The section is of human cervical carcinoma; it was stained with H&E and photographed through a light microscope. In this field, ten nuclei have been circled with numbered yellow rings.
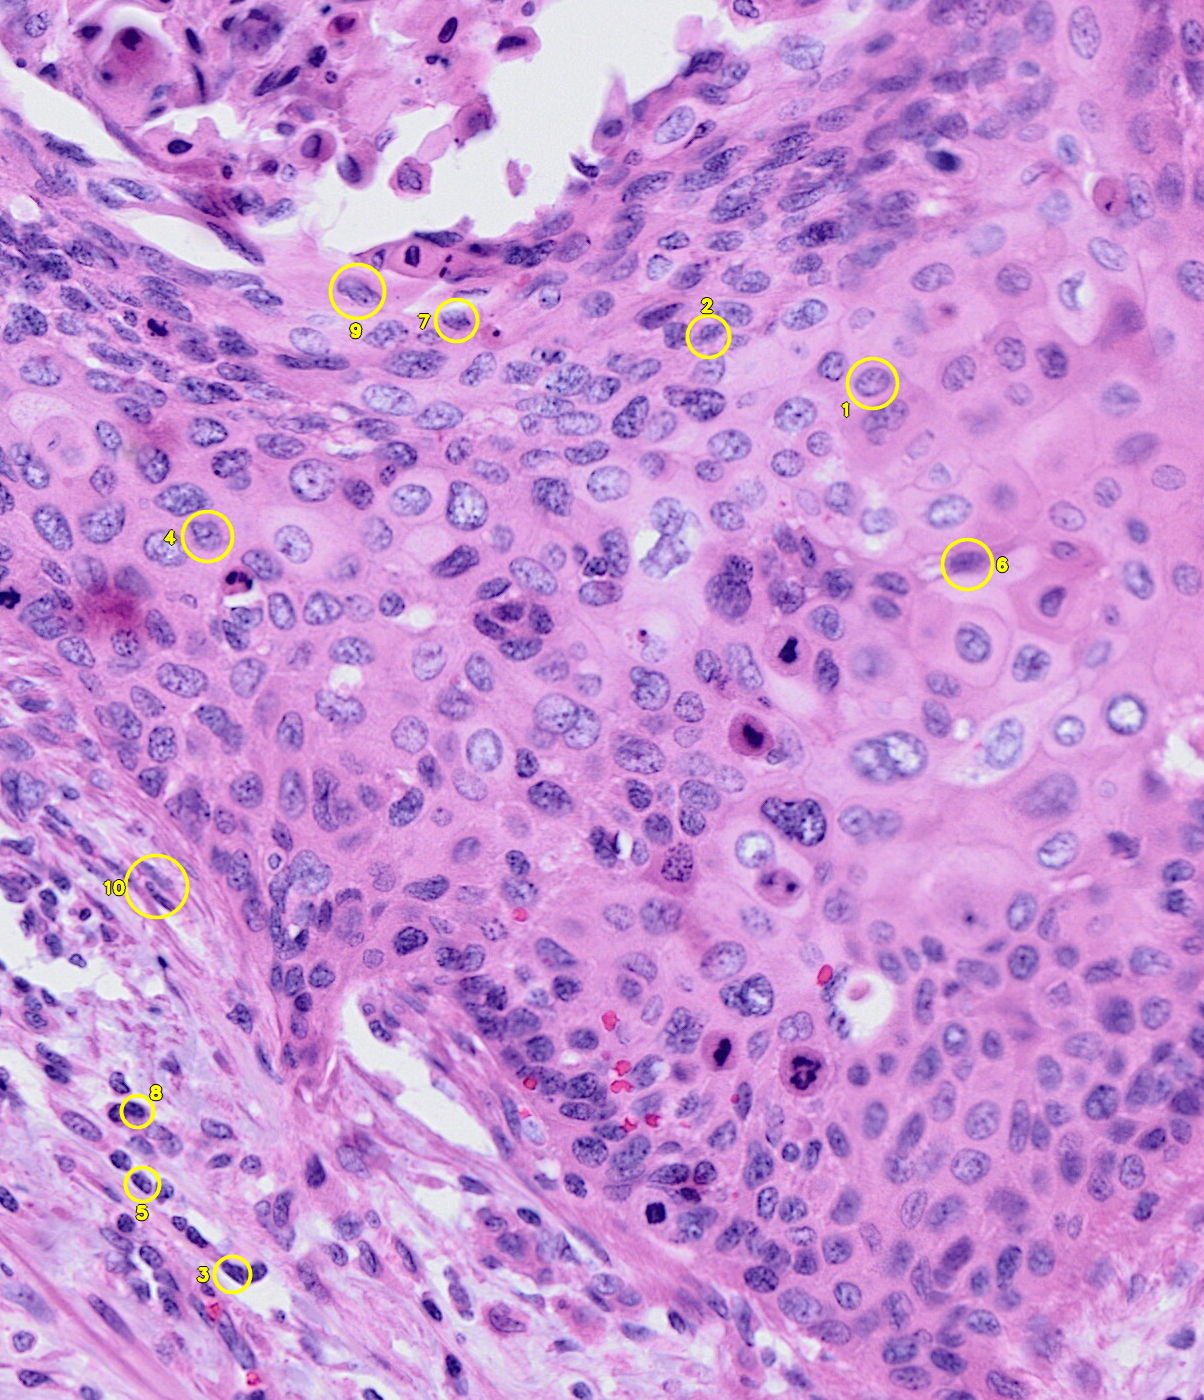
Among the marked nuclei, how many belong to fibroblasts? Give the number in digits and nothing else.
1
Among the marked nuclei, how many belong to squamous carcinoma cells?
6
